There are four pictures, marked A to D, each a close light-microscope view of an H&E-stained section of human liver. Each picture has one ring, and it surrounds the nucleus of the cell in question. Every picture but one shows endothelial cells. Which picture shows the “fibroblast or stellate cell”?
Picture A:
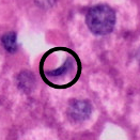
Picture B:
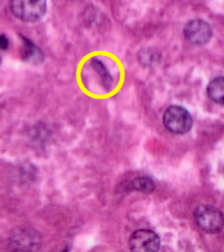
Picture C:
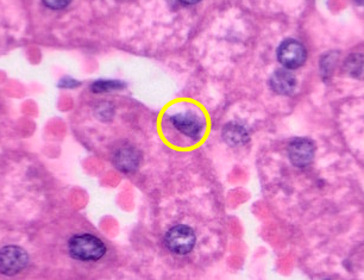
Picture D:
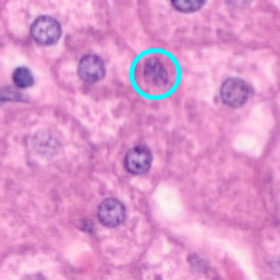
D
